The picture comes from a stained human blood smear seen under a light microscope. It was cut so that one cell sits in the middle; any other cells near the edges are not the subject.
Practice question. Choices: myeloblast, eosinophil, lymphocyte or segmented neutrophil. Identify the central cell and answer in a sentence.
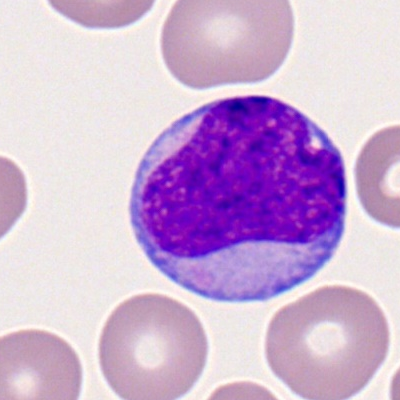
The cell under consideration, at the middle of the crop, is a myeloblast.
